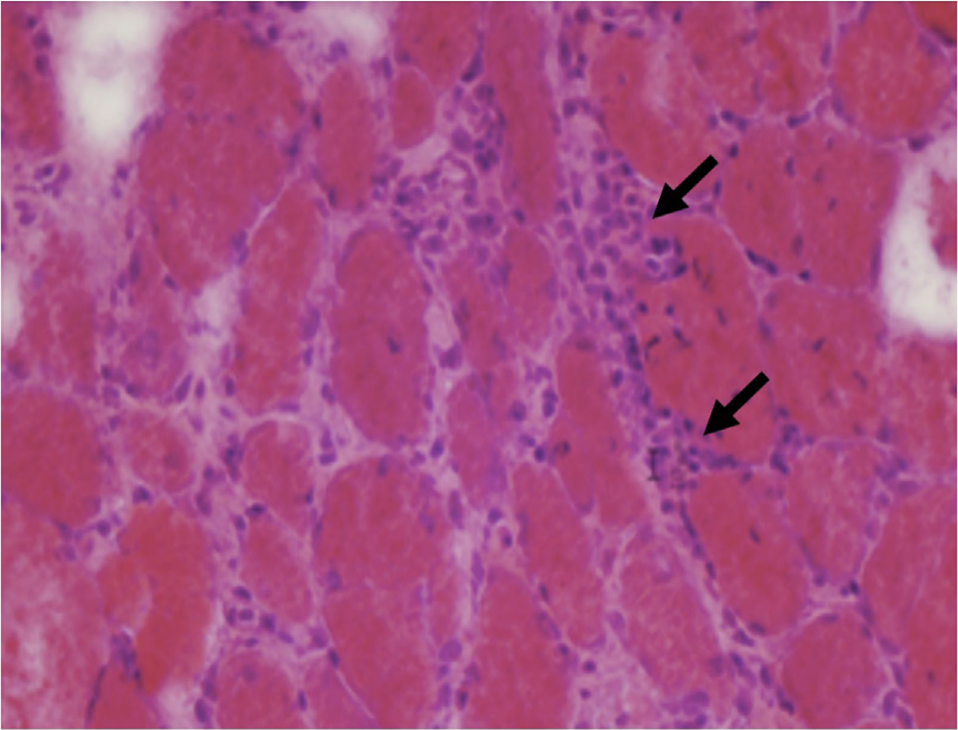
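This is skeletal muscle cut in cross-section, with deep pink muscle fibers separated by paler connective tissue. The fibers are rounded to polygonal and vary clearly in size, with small and large ones intermixed across the field. Most fiber nuclei are dark, flat and elongated, and sit at the edges of the fibers. In the spaces between individual fibers there are many small round cells with dark purple nuclei. These cells form dense clusters in places, especially in a band running through the right half of the field. A few clear white spaces are also present between some of the fibers.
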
